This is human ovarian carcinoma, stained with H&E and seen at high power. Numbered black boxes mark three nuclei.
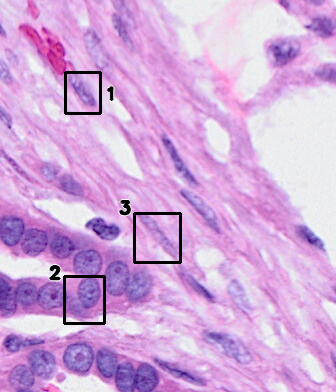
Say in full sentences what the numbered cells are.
Cells 1 and 3 are fibroblasts. Cell 2 is a carcinoma cell.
